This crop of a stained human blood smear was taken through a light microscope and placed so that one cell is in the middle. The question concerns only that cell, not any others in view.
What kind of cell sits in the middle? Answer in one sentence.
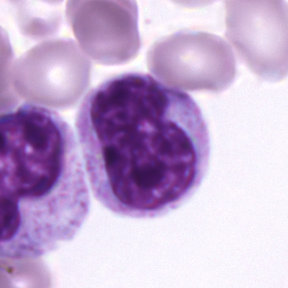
The cell of interest, located centrally, is a metamyelocyte.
